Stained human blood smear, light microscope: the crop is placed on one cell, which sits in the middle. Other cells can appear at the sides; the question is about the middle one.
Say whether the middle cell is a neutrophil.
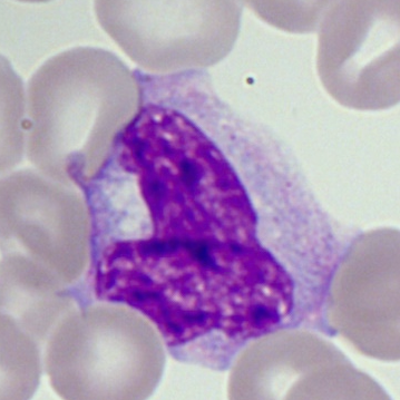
no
